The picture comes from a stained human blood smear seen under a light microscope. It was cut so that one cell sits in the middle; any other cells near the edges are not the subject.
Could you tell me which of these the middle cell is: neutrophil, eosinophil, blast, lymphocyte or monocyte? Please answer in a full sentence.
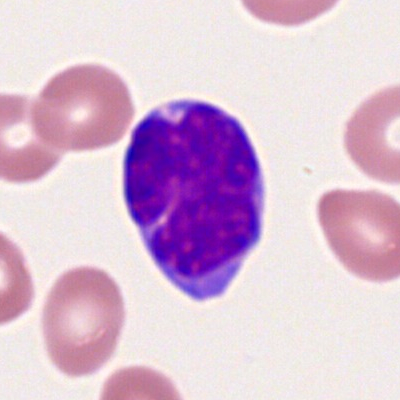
The centrally placed cell is classified as a monocyte.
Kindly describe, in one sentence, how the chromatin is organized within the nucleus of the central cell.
One feature to record is coarsely clumped chromatin.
